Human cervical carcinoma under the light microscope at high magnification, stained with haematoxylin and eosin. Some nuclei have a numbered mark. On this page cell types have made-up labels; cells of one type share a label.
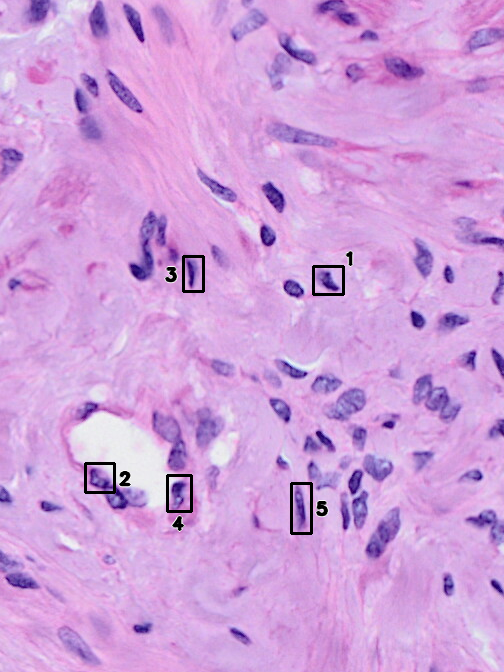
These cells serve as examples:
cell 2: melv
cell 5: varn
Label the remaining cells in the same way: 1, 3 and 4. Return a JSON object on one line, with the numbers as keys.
{"1": "varn", "3": "varn", "4": "melv"}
